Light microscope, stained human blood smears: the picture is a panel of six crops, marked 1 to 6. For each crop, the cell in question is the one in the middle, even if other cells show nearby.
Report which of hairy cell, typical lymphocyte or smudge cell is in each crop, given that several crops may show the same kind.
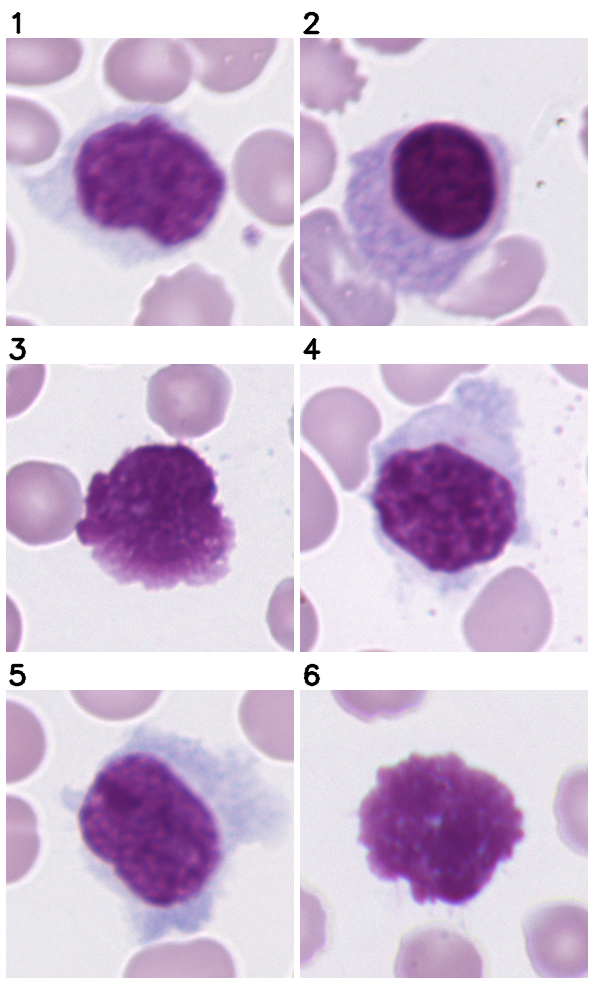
1: hairy cell
2: hairy cell
3: smudge cell
4: hairy cell
5: hairy cell
6: smudge cell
